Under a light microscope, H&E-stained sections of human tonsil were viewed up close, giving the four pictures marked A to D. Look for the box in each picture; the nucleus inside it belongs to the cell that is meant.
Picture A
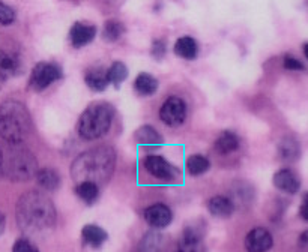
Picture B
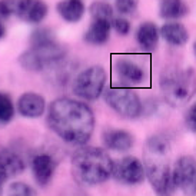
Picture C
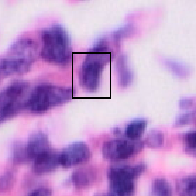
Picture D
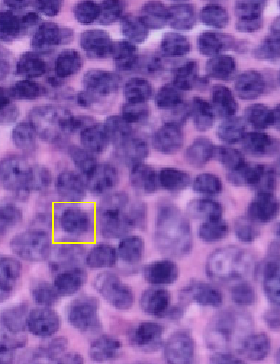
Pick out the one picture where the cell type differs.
A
